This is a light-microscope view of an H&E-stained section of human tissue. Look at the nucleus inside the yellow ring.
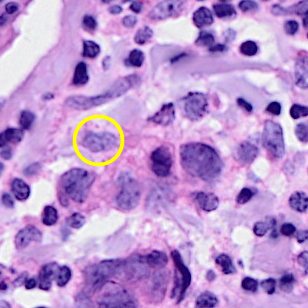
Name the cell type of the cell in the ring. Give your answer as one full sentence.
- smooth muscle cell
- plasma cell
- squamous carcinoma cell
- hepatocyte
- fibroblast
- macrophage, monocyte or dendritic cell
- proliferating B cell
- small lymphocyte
In cellular terms, the cell in the ring is a macrophage, monocyte or dendritic cell.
